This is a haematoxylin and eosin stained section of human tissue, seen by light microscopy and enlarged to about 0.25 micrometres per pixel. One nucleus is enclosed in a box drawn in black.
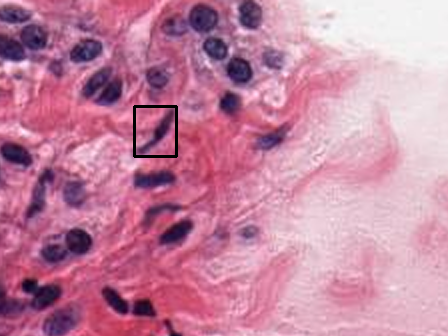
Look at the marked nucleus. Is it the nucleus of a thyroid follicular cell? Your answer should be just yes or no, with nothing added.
no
